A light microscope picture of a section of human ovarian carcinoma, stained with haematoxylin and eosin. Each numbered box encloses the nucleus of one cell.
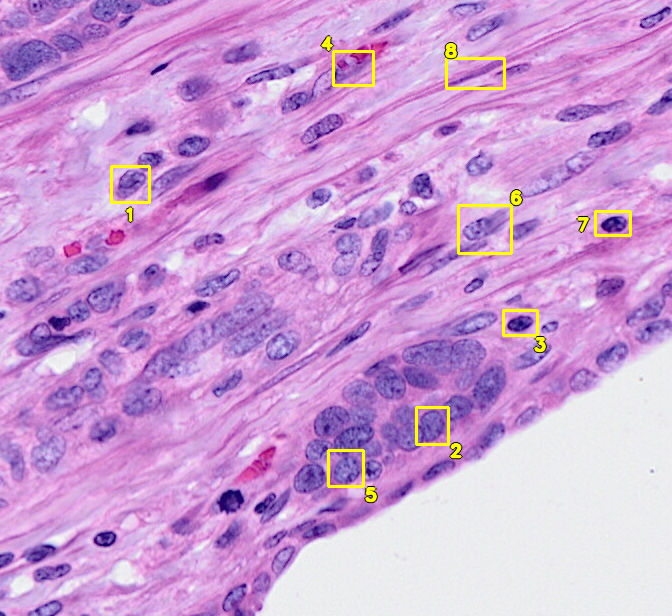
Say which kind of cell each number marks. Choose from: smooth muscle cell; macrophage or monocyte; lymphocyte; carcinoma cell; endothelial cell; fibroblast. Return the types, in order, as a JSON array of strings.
["macrophage or monocyte", "carcinoma cell", "lymphocyte", "endothelial cell", "carcinoma cell", "macrophage or monocyte", "lymphocyte", "fibroblast"]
